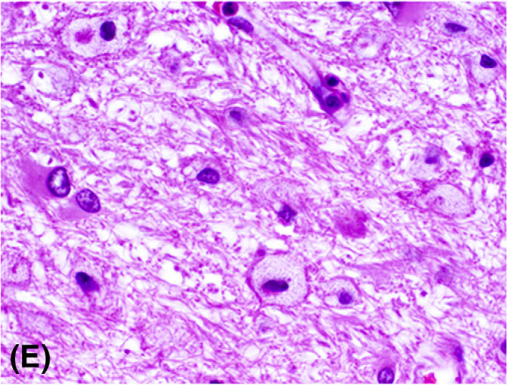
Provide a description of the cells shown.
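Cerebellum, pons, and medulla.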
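Brain tissue with macrophages, atypical oligodendrocytes and astrocytes in a loose, rarefied pink neuropil. Several rounded cells have pale, foamy or finely granular cytoplasm with a small nucleus, consistent with macrophages. Scattered cells have dark, dense or smudged purple nuclei. The fibrillary background is loosened and full of clear spaces, giving a spongy appearance.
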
